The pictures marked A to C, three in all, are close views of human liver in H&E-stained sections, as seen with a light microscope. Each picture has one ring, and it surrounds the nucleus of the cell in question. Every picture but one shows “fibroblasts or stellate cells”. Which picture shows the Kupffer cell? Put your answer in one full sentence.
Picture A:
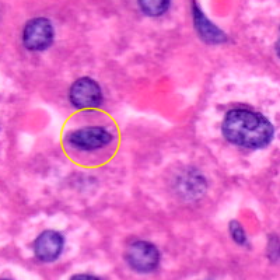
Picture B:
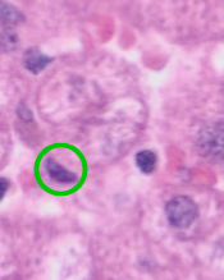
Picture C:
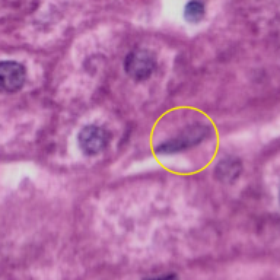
Picture C is the one that shows the Kupffer cell.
